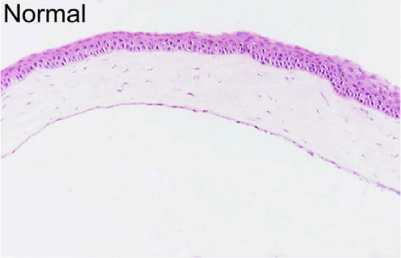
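Cornea with a stratified epithelium at the surface over a thick, pale-pink stroma. The epithelium is several cell layers deep, with purple nuclei packed densely and cells flattening toward the surface. The stroma beneath is made of loose, pale lamellae with sparse, elongated, flattened nuclei lying parallel to the surface.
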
